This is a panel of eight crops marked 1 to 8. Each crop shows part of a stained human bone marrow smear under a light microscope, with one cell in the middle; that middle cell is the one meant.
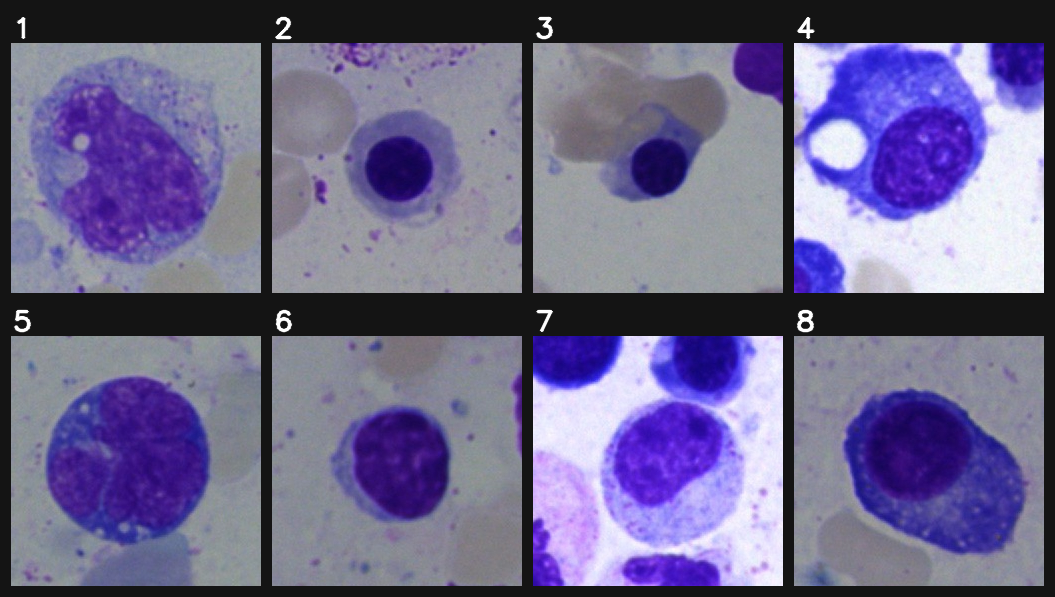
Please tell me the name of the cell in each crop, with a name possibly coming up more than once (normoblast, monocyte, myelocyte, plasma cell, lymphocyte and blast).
1: monocyte
2: normoblast
3: normoblast
4: plasma cell
5: blast
6: lymphocyte
7: myelocyte
8: plasma cell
